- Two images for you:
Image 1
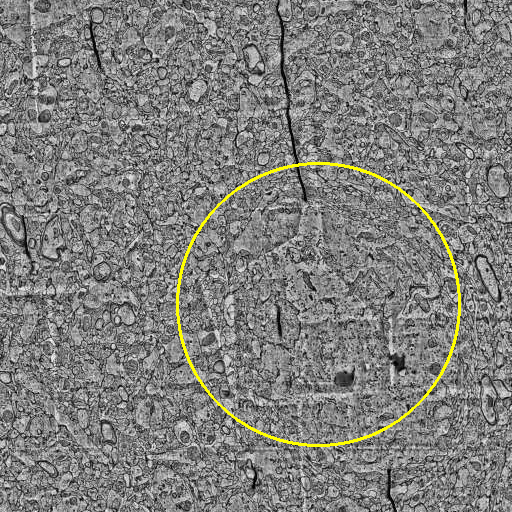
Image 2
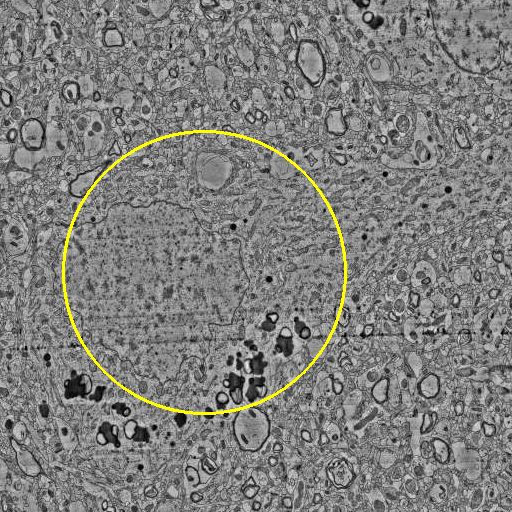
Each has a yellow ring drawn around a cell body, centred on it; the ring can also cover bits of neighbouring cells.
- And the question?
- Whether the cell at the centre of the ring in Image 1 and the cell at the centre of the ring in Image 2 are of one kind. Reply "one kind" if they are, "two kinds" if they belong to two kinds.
two kinds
